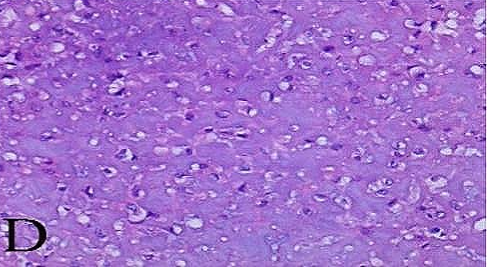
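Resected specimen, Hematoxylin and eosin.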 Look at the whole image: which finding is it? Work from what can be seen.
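The cytoplasm was vacuolated. Many cells show clear, empty-looking spaces around or beside their nuclei. The cells lie scattered in a pale bluish-purple matrix.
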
